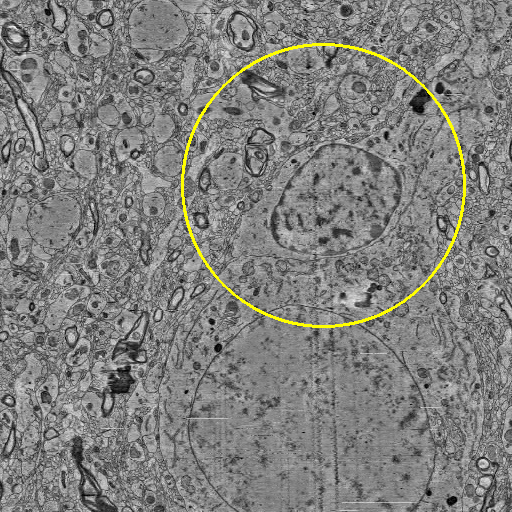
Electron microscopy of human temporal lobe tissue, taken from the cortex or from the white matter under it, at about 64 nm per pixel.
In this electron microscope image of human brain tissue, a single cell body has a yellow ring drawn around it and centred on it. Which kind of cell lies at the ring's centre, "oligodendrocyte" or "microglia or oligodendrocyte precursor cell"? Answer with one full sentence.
It is a microglial cell or oligodendrocyte precursor cell whose cell body lies at the centre of the yellow ring here.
